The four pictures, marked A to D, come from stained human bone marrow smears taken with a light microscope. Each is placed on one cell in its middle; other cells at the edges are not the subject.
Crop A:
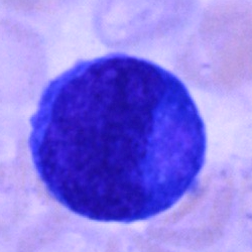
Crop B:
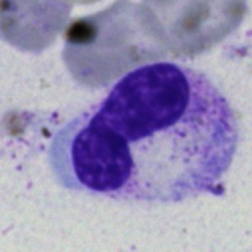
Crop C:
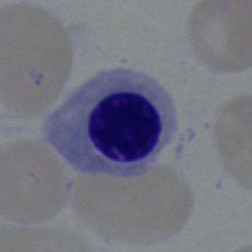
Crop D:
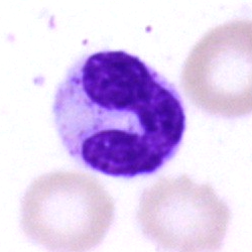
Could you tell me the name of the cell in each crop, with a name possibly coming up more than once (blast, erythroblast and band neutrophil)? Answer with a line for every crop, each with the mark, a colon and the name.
A: blast
B: band neutrophil
C: erythroblast
D: band neutrophil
